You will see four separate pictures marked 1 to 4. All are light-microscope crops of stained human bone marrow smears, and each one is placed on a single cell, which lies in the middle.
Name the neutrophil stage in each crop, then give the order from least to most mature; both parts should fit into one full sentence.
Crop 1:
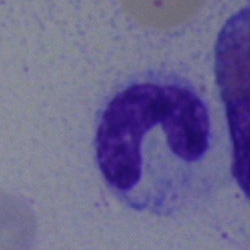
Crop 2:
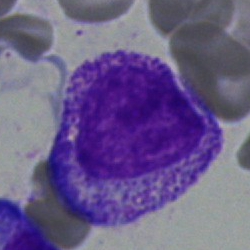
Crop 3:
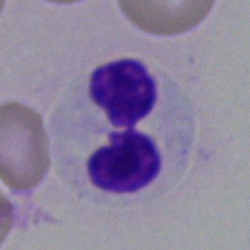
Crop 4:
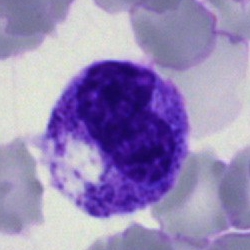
In terms of maturity, from lowest to highest, the order reads crop 2 (a myelocyte), crop 4 (a metamyelocyte), crop 1 (a band neutrophil) and crop 3 (a segmented neutrophil).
